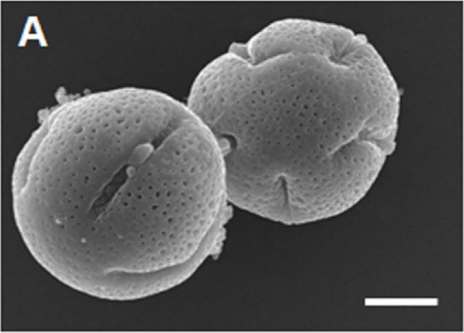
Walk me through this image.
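Two rounded pollen grains seen by scanning electron microscopy. The outer wall is finely pitted over its whole surface and is interrupted by long, narrow slit-like furrows, one of them gaping open. Small particles adhere to the grain surfaces.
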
